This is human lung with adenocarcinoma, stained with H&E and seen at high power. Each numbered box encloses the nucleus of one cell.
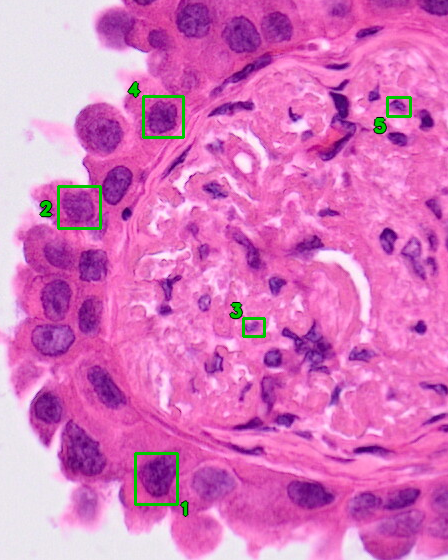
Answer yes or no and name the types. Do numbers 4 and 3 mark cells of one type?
No, the cell tagged 4 is a carcinoma cell, whereas the cell tagged 3 is a smooth muscle cell or pericyte.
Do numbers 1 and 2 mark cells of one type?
Yes, the pair of cells 1 and 2 are both carcinoma cells.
